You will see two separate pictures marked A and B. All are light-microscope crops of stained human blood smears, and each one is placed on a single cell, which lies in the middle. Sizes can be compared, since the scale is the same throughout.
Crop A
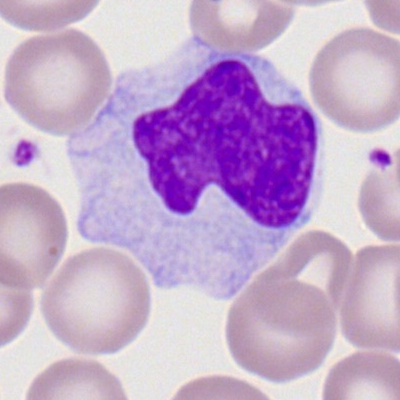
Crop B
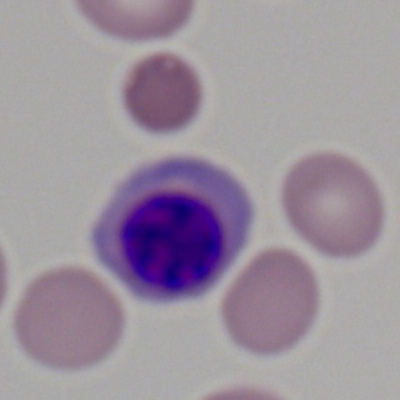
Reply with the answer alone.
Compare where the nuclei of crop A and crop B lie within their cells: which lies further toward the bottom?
B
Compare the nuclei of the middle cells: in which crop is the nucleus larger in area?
A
